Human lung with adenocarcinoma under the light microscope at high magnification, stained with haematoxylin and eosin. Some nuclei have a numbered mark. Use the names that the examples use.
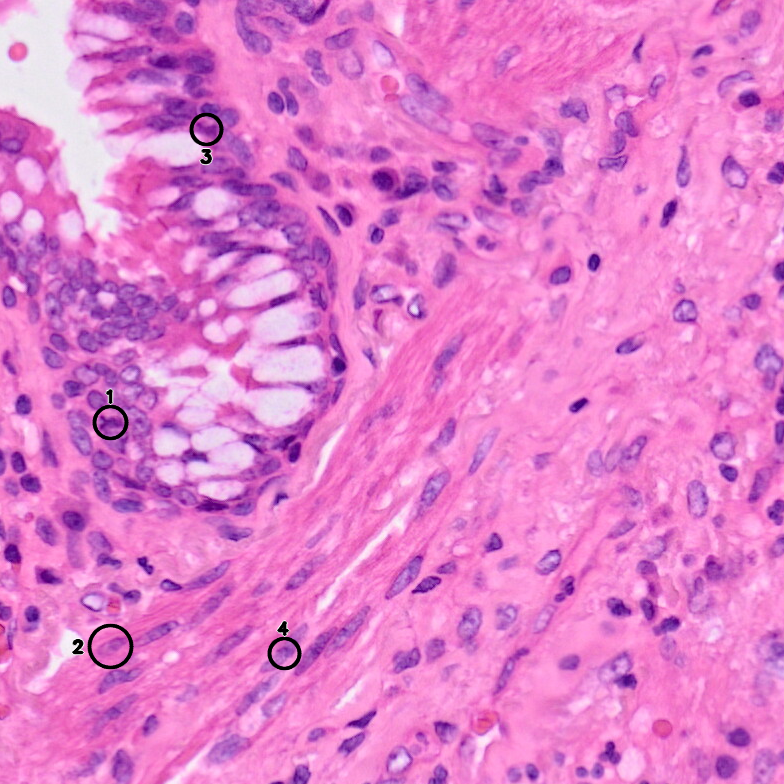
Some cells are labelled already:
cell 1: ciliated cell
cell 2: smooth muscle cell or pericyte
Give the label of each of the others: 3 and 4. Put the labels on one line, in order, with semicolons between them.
ciliated cell; smooth muscle cell or pericyte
